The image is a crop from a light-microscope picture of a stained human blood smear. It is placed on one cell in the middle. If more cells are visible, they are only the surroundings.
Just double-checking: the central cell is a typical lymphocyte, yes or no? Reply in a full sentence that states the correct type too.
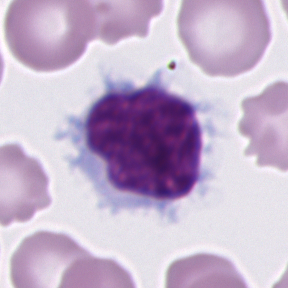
No, the identification should read a hairy cell, not a typical lymphocyte, for the central cell.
